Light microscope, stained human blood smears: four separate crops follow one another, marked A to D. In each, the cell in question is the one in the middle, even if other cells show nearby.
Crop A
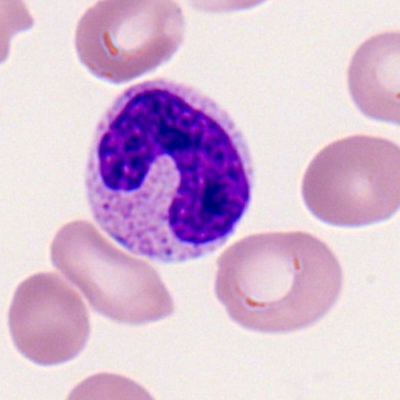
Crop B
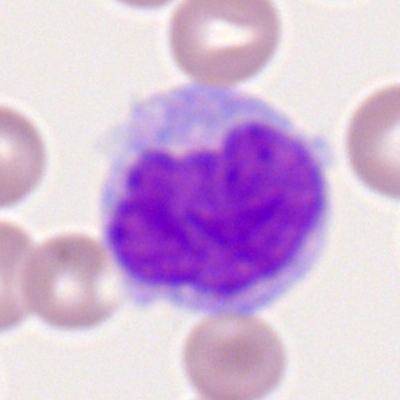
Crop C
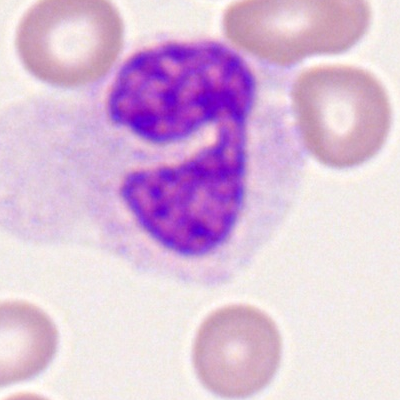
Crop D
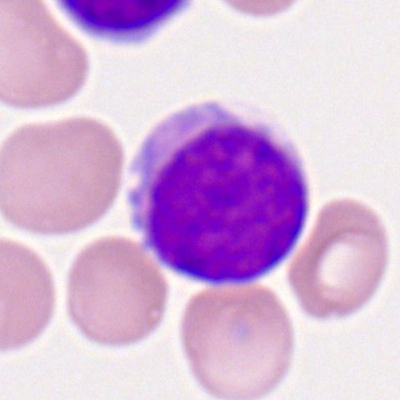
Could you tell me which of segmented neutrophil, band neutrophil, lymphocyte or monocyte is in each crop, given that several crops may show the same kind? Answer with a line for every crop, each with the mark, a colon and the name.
A: band neutrophil
B: monocyte
C: monocyte
D: lymphocyte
